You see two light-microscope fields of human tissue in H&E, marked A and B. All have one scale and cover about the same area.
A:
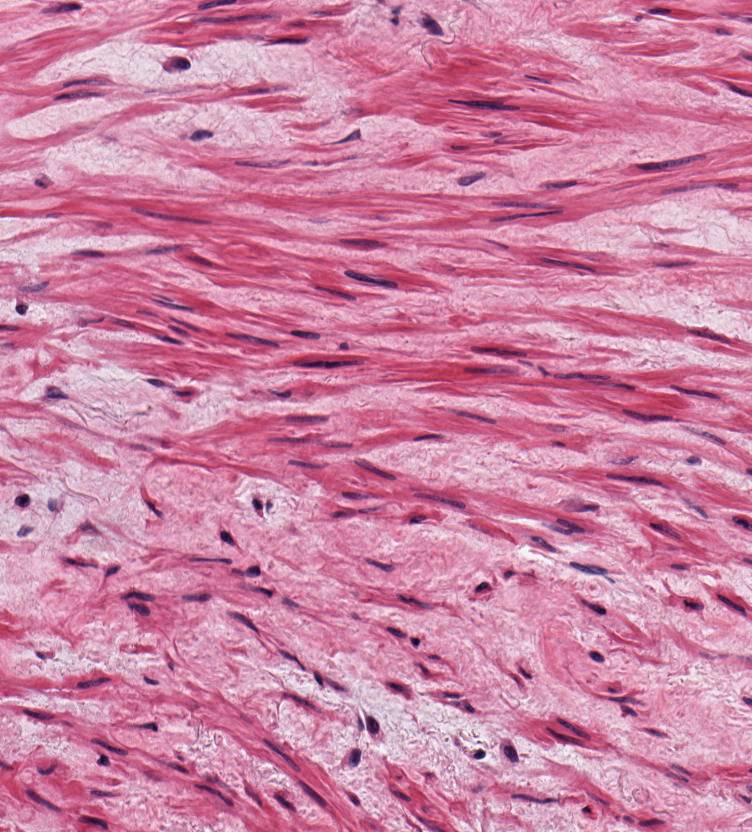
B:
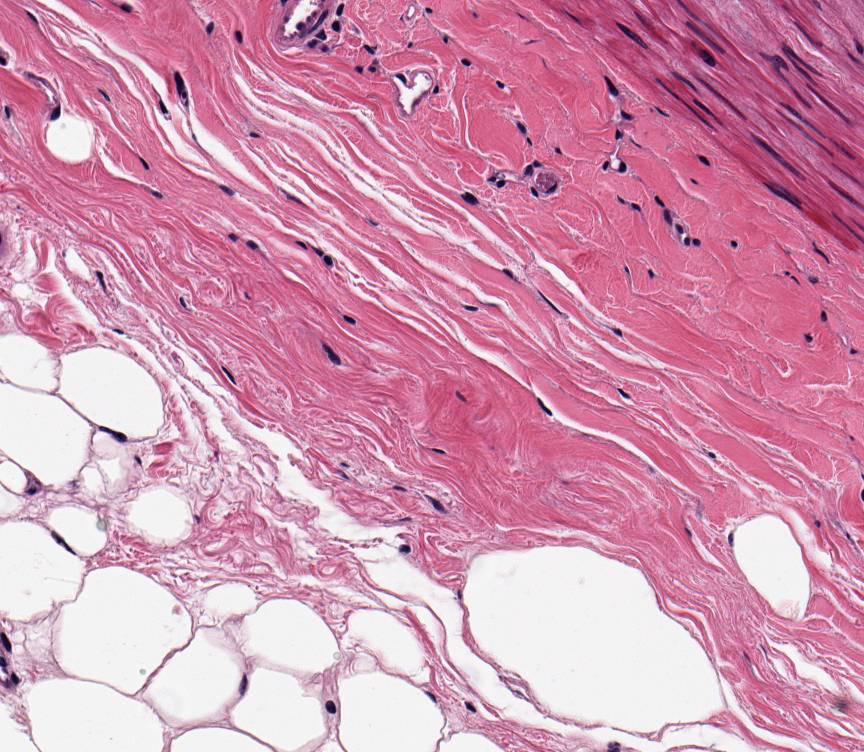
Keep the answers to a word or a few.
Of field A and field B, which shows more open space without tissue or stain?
B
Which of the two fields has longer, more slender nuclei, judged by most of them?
A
